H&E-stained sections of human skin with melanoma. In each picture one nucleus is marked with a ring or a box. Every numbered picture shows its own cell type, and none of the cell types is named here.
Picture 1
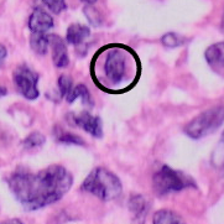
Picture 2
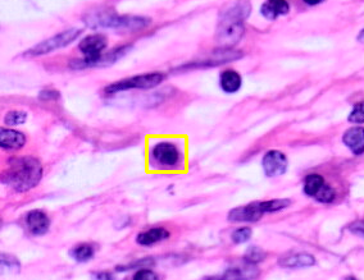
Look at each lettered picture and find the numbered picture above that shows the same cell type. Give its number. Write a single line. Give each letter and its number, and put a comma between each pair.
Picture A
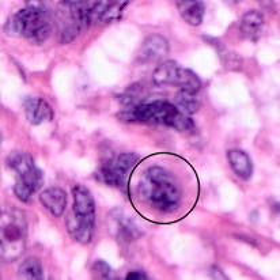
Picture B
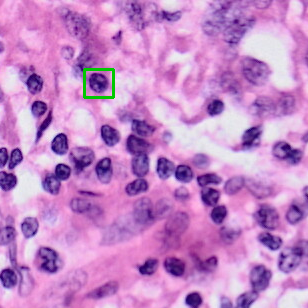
A 1, B 2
